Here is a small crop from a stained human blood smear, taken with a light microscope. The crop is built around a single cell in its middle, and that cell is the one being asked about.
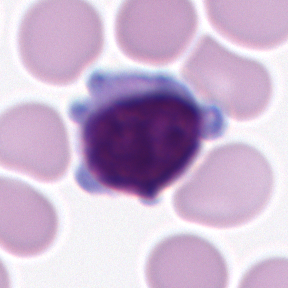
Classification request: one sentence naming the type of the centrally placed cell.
The cell in the exact centre of the crop is a typical lymphocyte.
